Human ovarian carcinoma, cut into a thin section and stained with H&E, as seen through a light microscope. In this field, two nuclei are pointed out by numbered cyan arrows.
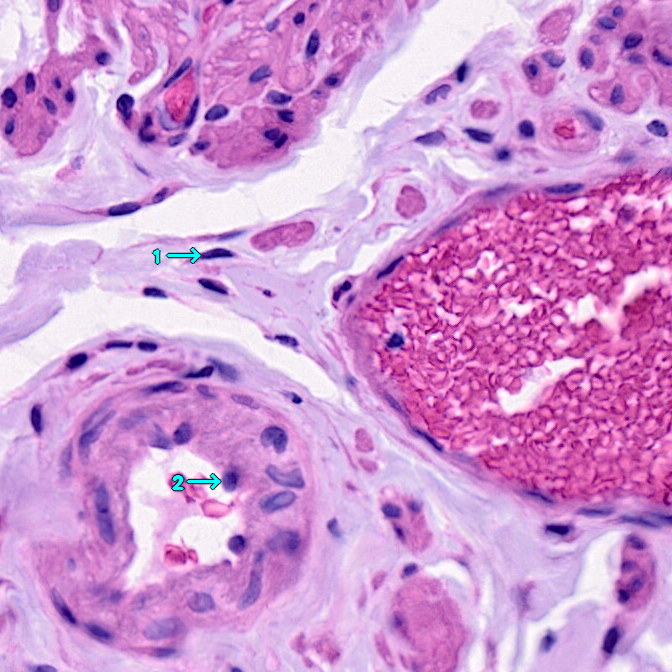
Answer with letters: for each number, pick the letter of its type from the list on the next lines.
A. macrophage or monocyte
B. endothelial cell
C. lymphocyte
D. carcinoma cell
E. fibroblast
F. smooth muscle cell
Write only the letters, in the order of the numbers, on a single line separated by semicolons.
E; B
